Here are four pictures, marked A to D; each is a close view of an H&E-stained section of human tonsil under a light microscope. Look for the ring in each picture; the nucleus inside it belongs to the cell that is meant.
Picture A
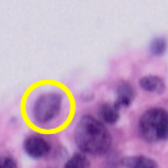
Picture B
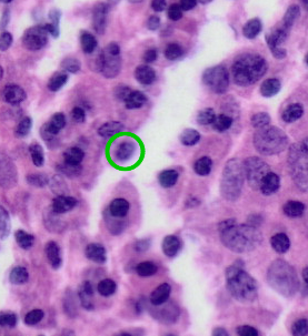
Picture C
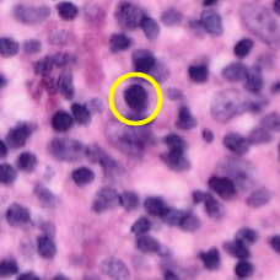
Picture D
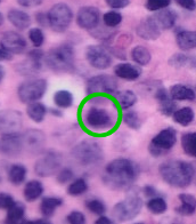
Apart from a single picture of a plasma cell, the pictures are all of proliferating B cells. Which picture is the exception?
B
